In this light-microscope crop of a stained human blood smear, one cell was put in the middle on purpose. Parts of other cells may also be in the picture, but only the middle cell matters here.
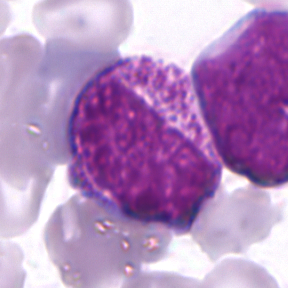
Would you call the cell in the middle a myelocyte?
yes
